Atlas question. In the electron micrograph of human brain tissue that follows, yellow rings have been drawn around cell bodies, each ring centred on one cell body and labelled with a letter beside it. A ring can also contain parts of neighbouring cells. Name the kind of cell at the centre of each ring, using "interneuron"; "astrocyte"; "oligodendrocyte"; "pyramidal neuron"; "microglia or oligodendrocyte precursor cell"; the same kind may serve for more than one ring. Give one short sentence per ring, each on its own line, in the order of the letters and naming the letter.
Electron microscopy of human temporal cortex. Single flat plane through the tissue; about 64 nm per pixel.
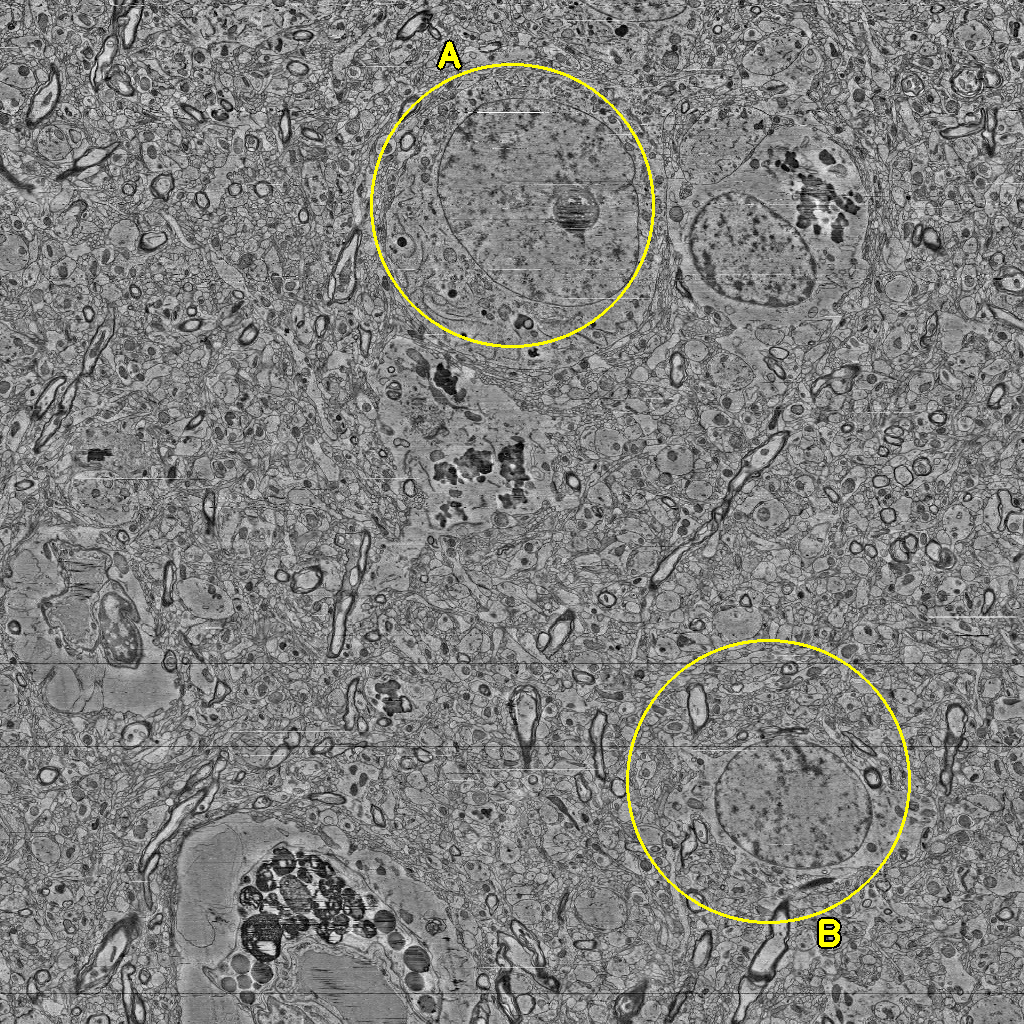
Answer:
For ring A, the cell at the centre is a pyramidal neuron.
For ring B, the cell at the centre is an astrocyte.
